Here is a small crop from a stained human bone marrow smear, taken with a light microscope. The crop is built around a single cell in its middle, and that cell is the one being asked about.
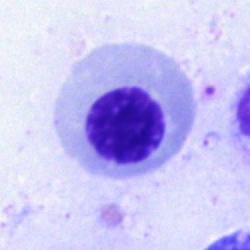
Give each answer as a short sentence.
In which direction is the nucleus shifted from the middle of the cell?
The nucleus is pushed toward the bottom of the cell.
